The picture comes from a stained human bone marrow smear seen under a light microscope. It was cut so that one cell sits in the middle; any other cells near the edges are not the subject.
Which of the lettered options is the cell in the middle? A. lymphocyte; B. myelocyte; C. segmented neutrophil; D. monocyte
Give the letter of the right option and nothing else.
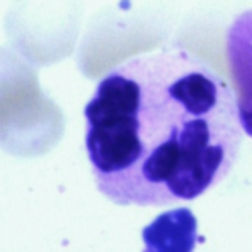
C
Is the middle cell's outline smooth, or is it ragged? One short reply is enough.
Smooth outline, no projections: that is the whole story of its edge.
